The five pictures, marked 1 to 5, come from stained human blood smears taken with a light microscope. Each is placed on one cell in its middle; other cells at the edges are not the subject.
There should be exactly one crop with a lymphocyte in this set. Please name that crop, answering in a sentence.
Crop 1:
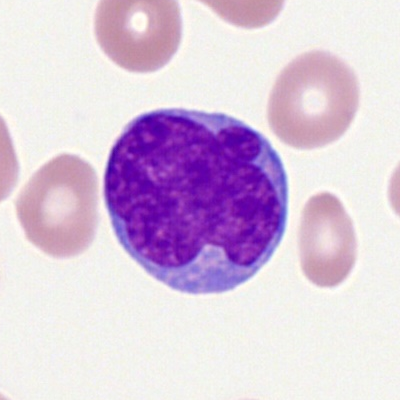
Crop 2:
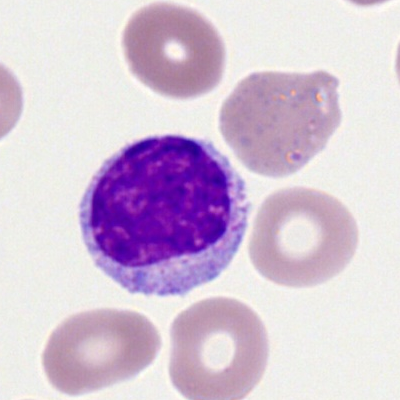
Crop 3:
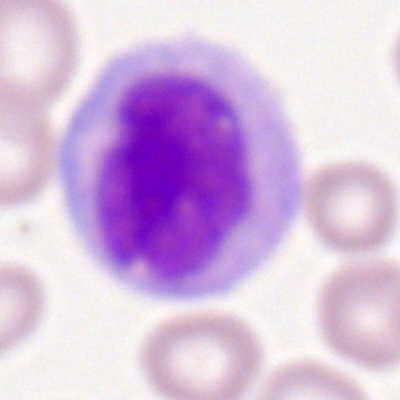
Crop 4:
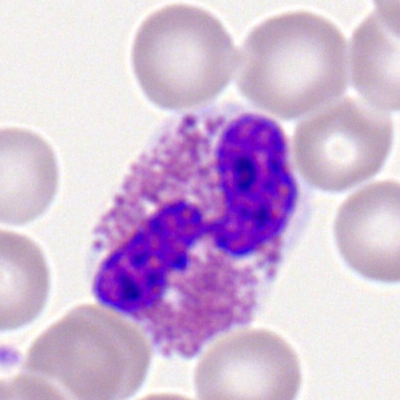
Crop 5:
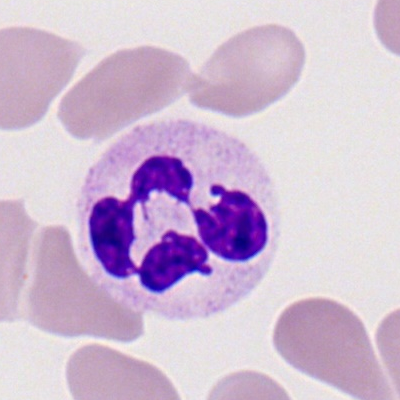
Crop 2 is the one that shows a lymphocyte.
